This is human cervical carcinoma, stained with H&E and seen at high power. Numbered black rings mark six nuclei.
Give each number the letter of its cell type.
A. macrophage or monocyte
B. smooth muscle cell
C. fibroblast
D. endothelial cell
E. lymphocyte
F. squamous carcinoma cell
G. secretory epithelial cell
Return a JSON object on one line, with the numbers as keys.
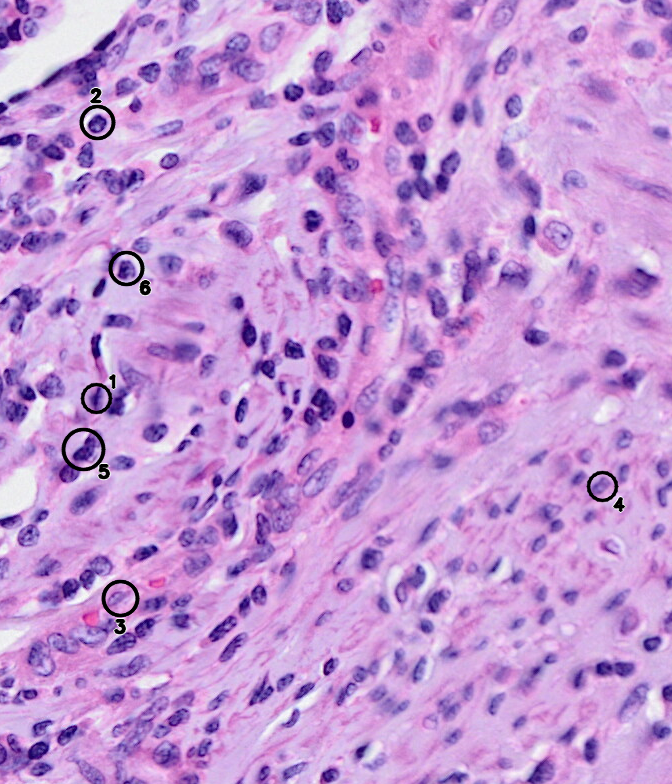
{"1": "E", "2": "E", "3": "D", "4": "B", "5": "E", "6": "E"}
